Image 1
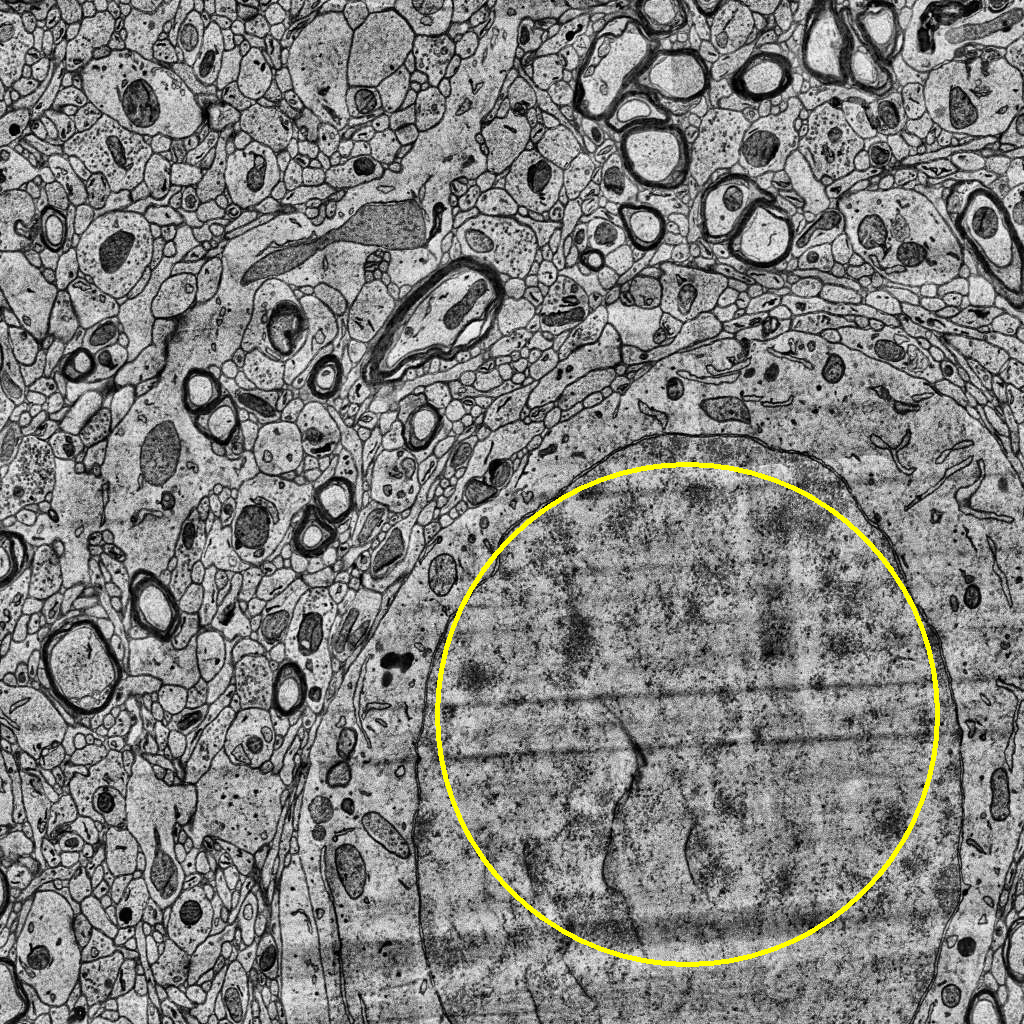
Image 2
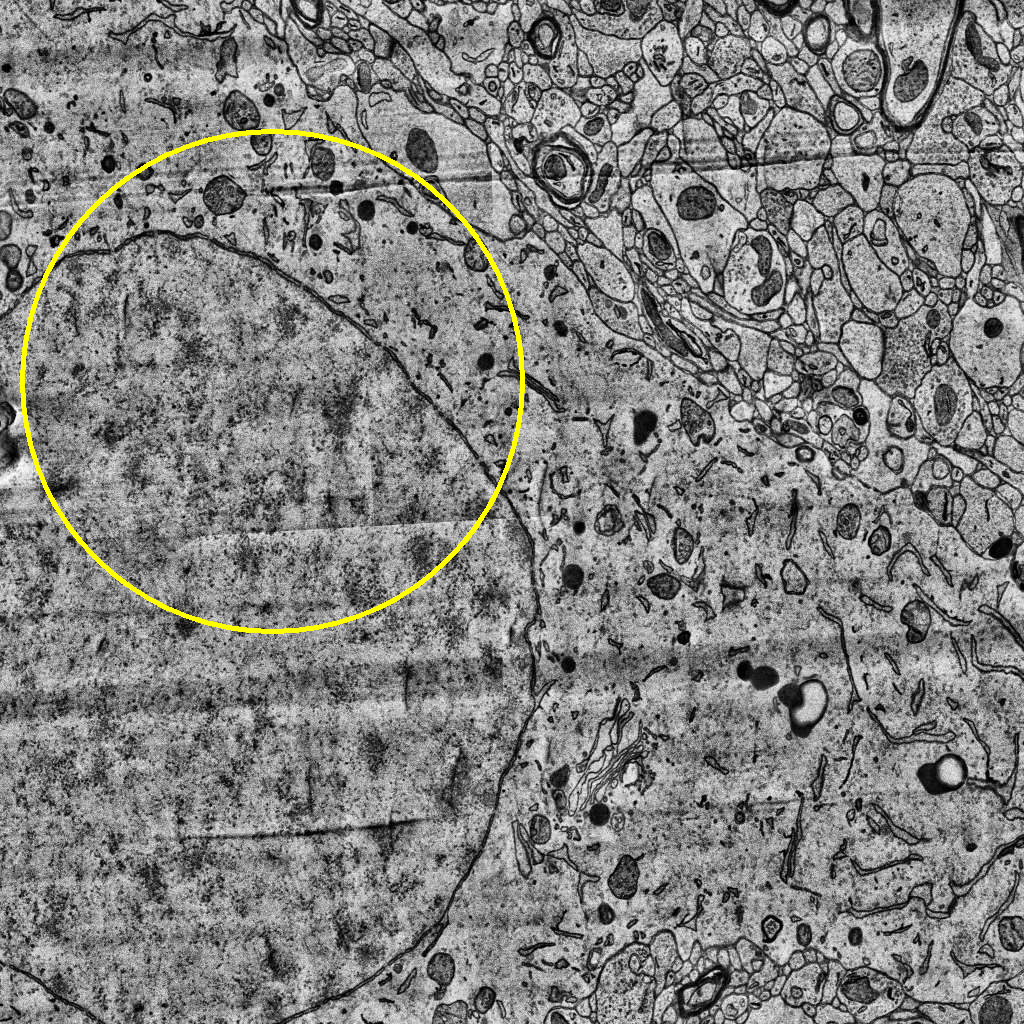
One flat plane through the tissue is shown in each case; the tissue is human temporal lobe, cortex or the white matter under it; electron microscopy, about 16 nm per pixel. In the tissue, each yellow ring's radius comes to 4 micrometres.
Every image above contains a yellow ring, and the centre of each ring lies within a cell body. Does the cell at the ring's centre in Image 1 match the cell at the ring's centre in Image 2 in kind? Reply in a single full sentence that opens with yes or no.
Yes, the cell at the ring's centre in Image 1 is the same kind as that in Image 2.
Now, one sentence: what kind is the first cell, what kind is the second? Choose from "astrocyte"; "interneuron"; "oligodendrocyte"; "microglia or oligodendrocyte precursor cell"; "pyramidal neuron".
Each cell at the centre of a ring is a pyramidal neuron.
